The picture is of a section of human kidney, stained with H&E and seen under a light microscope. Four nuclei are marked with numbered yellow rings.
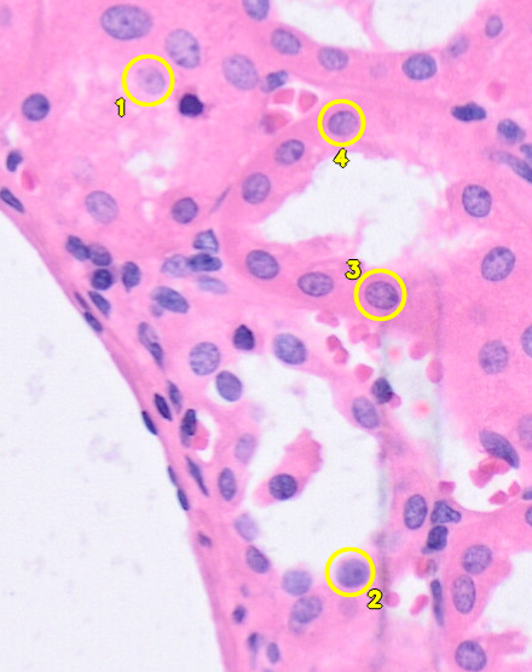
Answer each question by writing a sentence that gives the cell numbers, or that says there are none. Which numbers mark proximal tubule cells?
Cells that were given the numbers 1, 3 and 4 are proximal tubule cells.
